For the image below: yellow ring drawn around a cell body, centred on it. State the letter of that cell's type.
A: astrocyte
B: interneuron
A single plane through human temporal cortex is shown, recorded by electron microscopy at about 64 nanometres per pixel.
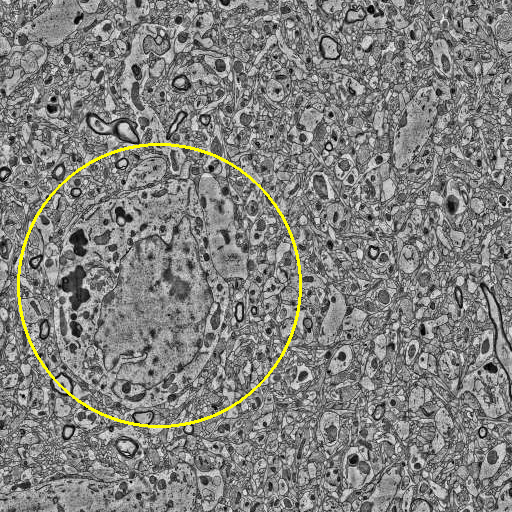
B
